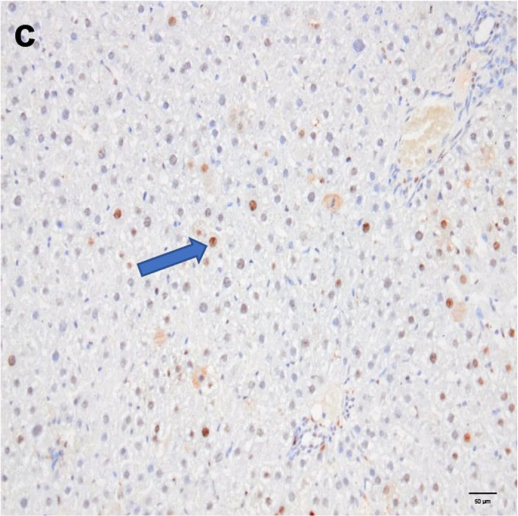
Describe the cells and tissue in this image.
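Liver parenchyma with hepatocytes arranged in plates, their round central nuclei mostly pale or bluish. Only a scattered minority of hepatocyte nuclei are stained brown, and the cytoplasm is largely unstained. Small vessels with surrounding blue-stained connective tissue are seen at the edge of the field.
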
